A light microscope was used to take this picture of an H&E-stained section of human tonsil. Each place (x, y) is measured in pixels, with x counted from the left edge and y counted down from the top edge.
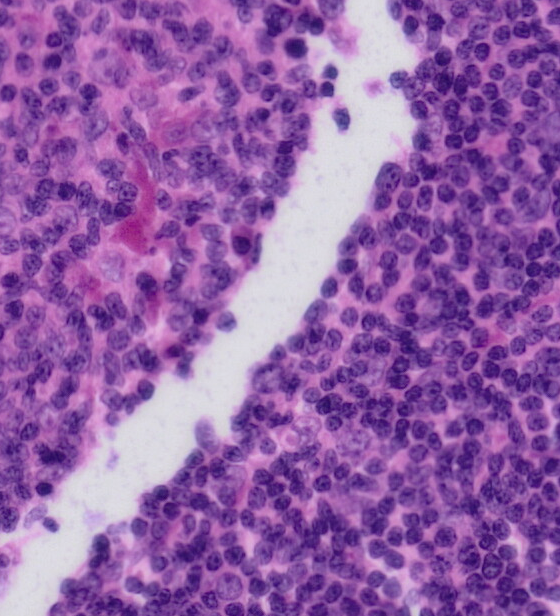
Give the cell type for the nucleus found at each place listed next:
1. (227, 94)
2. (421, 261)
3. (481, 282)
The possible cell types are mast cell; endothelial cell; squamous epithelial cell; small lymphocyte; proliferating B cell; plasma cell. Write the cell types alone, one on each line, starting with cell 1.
proliferating B cell
small lymphocyte
small lymphocyte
